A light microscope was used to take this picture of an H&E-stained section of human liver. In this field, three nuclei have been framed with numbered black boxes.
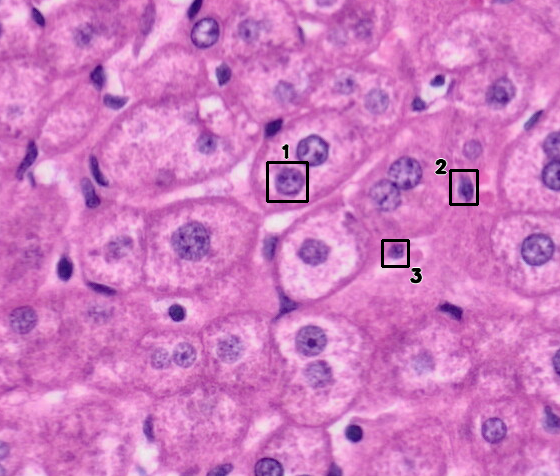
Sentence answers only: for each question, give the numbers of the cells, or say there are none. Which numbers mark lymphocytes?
Whereas cell 3 is a lymphocyte, the other numbered cells are not.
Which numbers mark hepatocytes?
Of those with numbers, only cell 1 is a hepatocyte.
